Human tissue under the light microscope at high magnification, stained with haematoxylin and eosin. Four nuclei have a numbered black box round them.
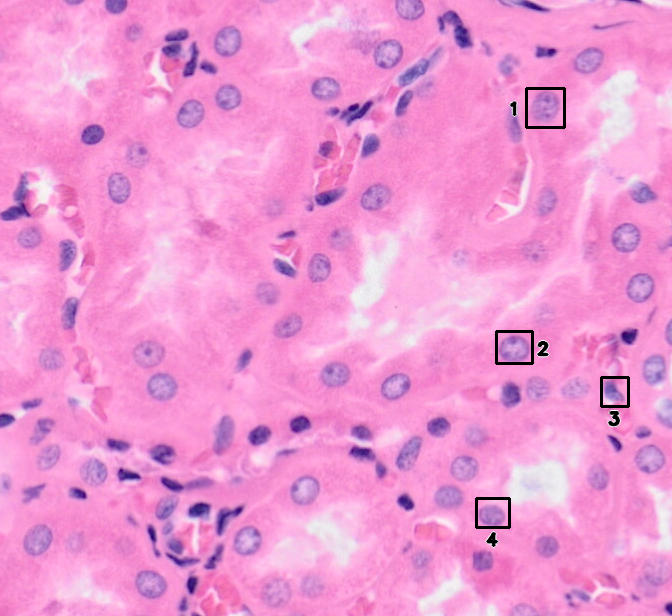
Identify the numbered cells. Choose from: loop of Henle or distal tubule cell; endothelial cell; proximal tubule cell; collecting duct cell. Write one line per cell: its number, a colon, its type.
1: proximal tubule cell
2: proximal tubule cell
3: endothelial cell
4: proximal tubule cell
